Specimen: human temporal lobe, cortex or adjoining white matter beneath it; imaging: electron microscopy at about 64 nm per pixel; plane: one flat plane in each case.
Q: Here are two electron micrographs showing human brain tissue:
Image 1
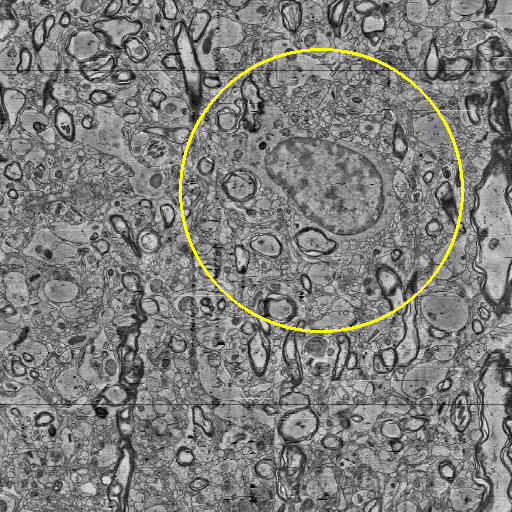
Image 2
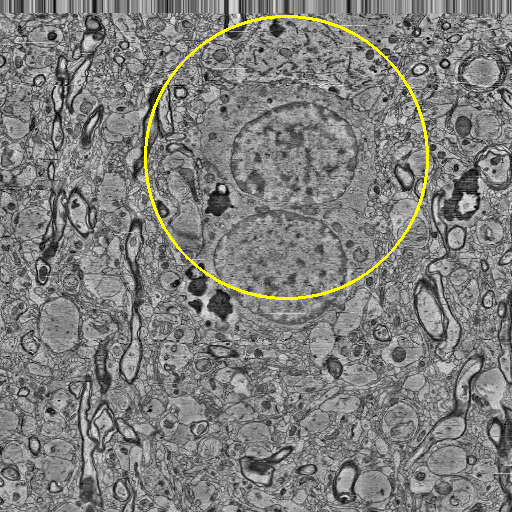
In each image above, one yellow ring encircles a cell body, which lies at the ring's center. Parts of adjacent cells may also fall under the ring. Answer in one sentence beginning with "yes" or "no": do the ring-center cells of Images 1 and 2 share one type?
Yes, in Images 1 and 2, the ring-center cells are both of one type.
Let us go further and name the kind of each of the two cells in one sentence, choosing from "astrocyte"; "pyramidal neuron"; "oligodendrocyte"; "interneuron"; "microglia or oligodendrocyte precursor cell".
Each one of the two ringed cells is an oligodendrocyte.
